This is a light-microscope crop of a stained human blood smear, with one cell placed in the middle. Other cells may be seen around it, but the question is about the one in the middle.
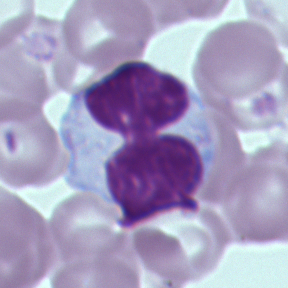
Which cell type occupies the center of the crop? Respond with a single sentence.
Looking at the middle of the crop, the cell there is a typical lymphocyte.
